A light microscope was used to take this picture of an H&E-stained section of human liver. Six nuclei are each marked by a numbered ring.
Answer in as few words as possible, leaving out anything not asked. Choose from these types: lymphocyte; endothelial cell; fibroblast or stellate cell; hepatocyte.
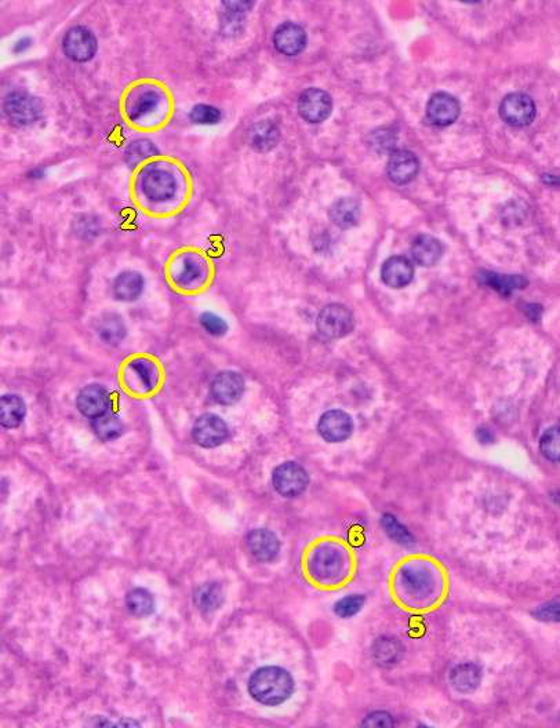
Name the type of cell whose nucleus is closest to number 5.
fibroblast or stellate cell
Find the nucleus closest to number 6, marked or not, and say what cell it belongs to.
lymphocyte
